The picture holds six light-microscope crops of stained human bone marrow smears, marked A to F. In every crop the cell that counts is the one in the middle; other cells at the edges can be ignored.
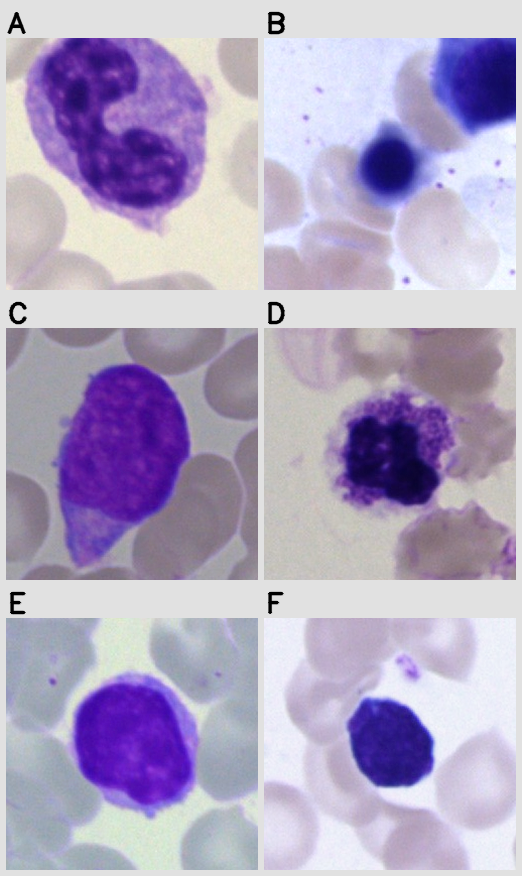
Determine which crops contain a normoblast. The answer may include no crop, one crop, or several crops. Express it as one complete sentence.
Out of the whole set, crop B is the only crop depicting a normoblast.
